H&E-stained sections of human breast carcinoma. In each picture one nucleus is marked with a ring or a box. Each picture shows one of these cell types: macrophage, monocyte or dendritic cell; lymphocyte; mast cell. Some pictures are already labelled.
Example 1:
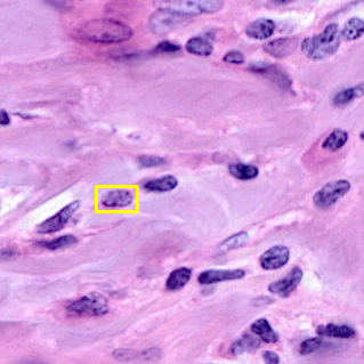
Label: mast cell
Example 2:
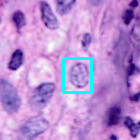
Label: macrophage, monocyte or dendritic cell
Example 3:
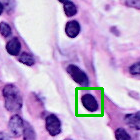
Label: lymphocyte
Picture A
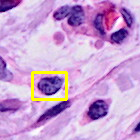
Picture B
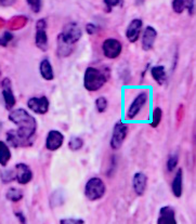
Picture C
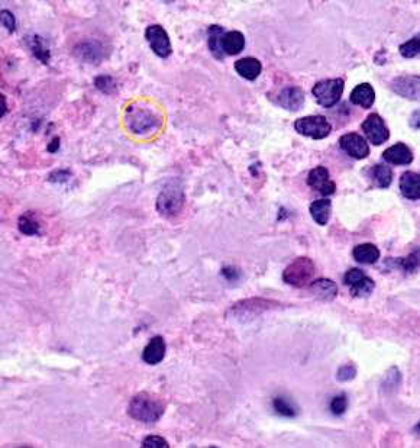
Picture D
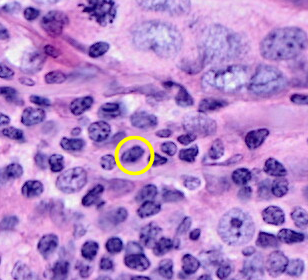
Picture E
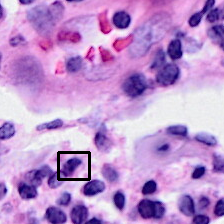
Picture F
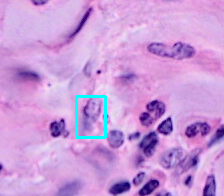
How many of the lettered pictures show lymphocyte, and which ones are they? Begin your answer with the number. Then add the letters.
3, namely B, D, E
